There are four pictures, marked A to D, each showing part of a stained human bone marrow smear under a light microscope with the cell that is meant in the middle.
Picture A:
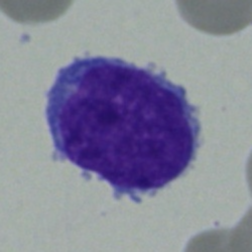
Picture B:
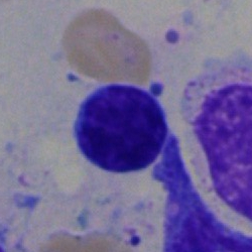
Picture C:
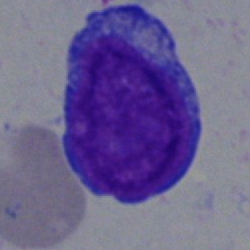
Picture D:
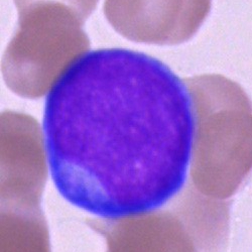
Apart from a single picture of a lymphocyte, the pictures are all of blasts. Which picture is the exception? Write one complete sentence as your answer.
Picture B is the one that shows the lymphocyte.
